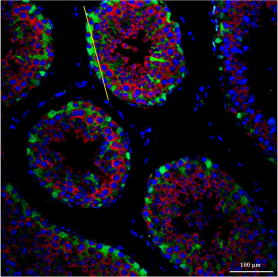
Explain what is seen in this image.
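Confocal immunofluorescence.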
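Round seminiferous tubules of the testis are cut across, each crowded with layered germ cells around a central lumen. Rounded cells with red-rimmed cytoplasm fill much of the tubules, bright green cells line the outer rim of each tubule, and blue nuclei dot the tubules and the narrow interstitial tissue between them.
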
